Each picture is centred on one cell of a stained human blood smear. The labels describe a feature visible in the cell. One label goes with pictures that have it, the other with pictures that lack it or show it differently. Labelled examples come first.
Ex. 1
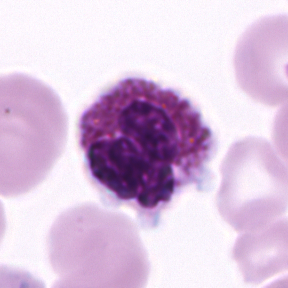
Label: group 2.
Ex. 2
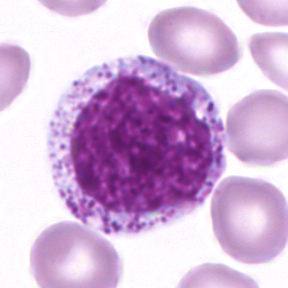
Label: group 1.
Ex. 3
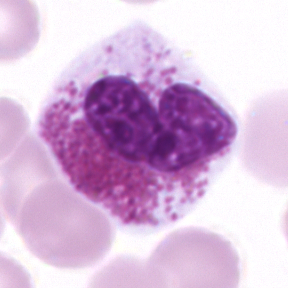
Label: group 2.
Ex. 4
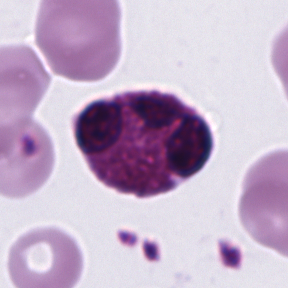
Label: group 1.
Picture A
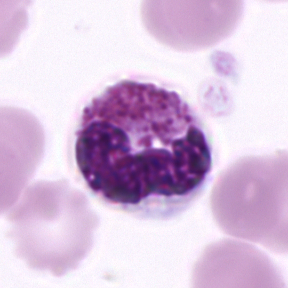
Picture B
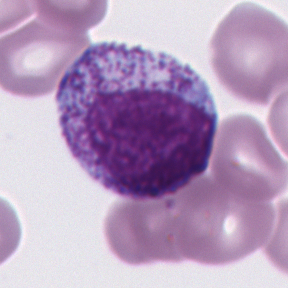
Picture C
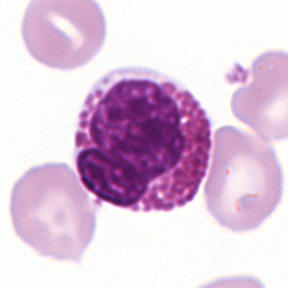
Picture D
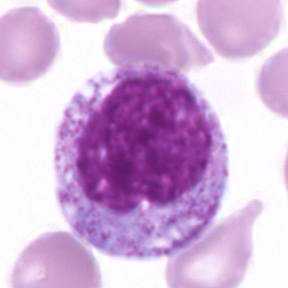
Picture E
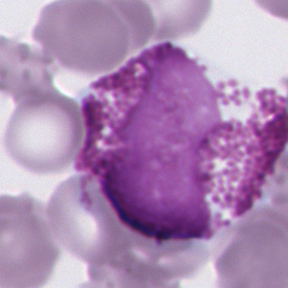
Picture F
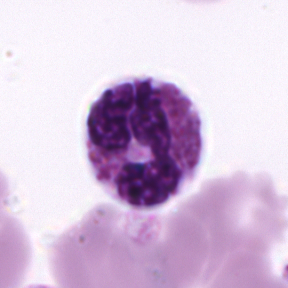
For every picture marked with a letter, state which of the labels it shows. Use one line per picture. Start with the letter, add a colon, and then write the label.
A: group 2.
B: group 1.
C: group 2.
D: group 1.
E: group 2.
F: group 1.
